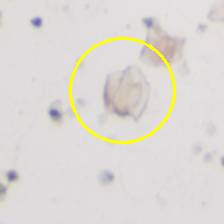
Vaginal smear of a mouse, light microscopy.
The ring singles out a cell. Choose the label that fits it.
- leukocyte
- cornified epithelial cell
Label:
cornified epithelial cell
